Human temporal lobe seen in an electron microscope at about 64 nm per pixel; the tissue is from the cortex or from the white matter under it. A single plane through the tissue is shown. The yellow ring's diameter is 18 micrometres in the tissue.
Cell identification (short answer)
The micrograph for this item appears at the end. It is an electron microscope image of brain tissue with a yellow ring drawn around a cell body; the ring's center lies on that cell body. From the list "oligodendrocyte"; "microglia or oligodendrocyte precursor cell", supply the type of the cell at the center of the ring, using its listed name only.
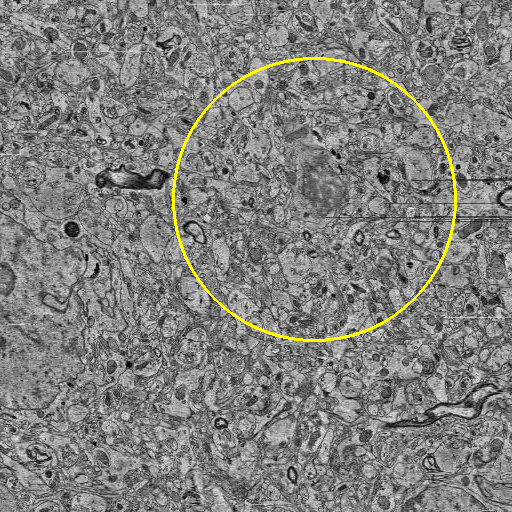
oligodendrocyte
